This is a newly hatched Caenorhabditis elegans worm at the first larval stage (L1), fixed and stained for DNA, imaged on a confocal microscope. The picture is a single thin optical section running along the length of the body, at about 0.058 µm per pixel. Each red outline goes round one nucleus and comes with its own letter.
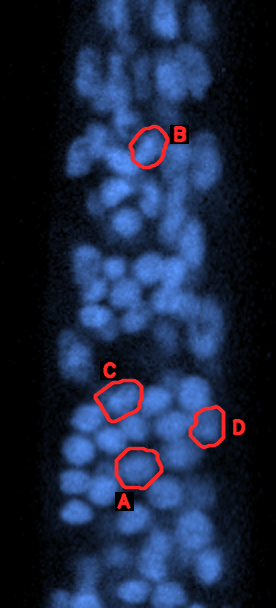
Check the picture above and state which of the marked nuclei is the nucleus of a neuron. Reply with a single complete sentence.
A is from a neuron.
